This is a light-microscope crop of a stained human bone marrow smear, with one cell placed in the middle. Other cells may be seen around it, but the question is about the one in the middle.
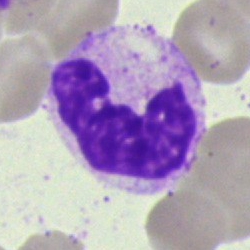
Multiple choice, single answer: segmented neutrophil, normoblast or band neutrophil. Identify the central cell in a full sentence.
Whatever else lies nearby, the middle cell is a segmented neutrophil.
